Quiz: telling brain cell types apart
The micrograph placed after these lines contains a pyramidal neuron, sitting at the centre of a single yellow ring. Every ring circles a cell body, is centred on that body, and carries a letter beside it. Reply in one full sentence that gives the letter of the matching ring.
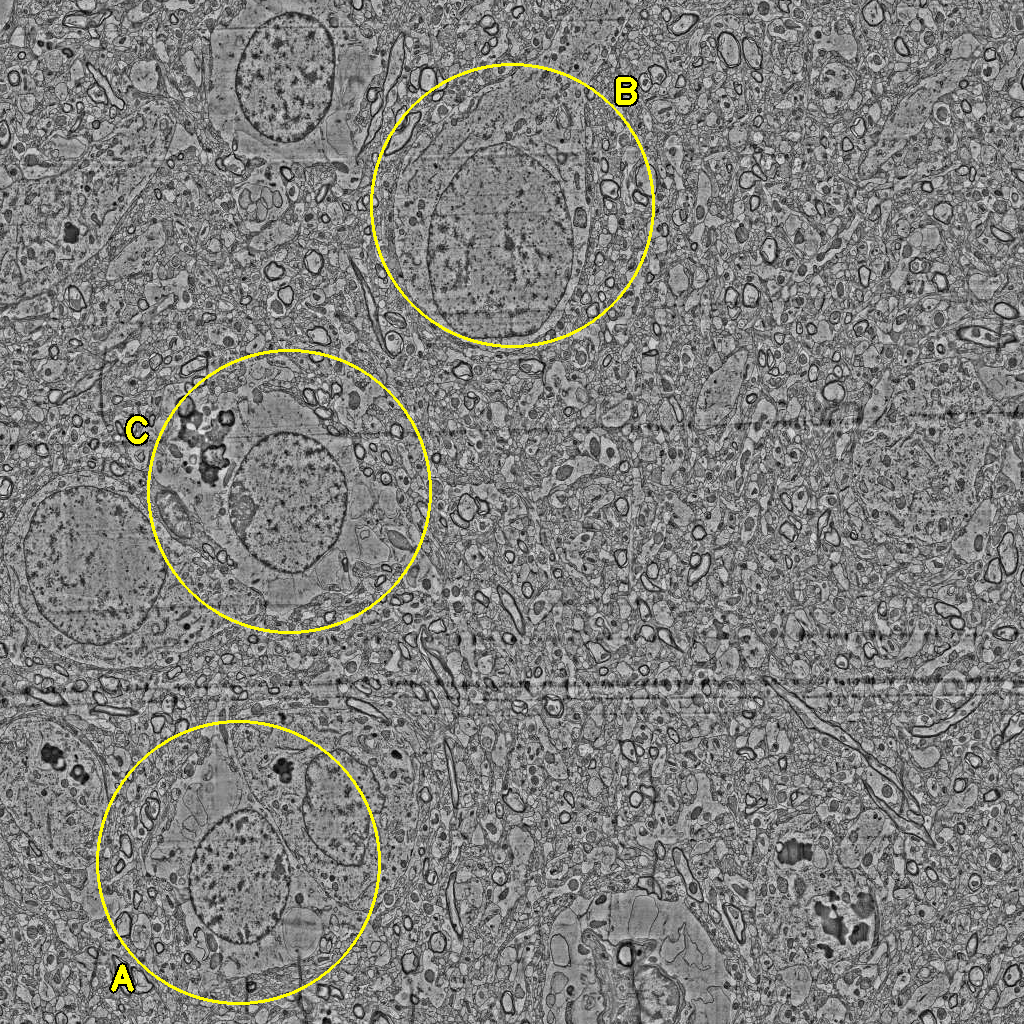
The cell asked for lies at the centre of ring B in the picture.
